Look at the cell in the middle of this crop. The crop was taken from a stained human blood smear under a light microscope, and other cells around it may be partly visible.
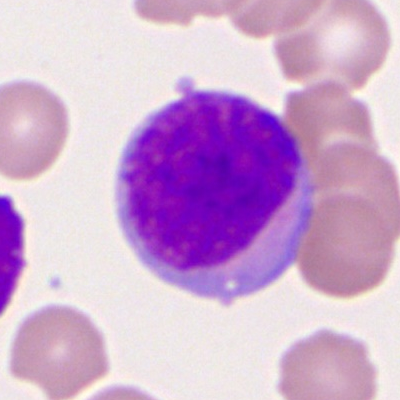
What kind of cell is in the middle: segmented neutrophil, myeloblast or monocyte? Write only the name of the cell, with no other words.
myeloblast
